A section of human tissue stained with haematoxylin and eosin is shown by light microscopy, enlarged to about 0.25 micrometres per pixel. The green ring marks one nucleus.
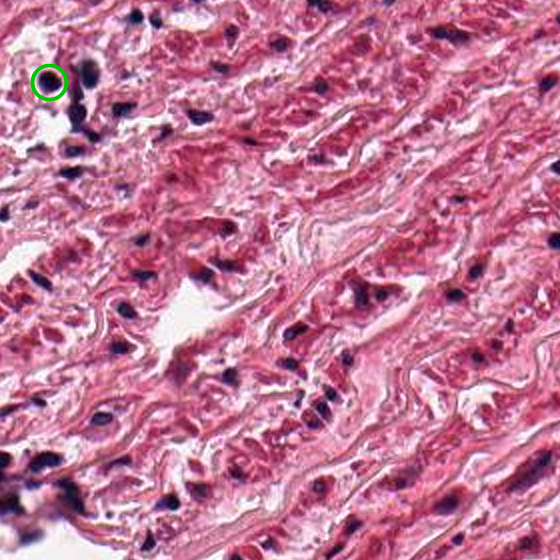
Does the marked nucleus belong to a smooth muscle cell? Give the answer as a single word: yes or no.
no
